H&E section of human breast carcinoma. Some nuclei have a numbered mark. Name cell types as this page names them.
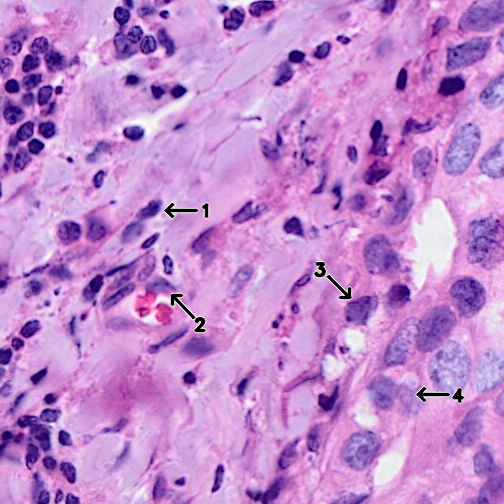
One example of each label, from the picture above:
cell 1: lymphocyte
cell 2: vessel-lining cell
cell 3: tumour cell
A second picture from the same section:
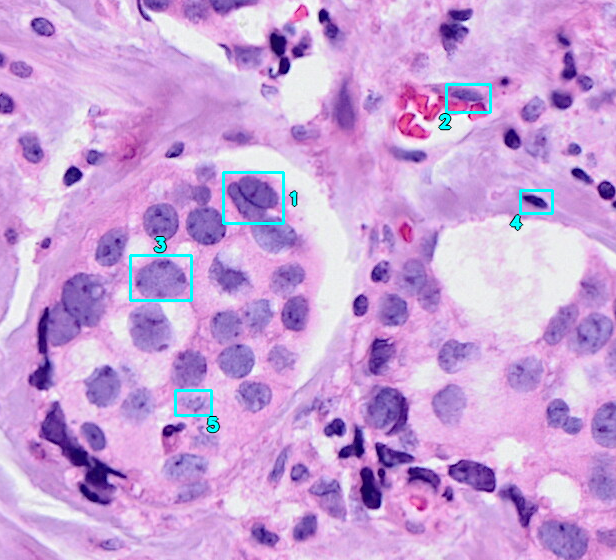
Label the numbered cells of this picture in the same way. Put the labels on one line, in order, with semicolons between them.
tumour cell; vessel-lining cell; tumour cell; lymphocyte; tumour cell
